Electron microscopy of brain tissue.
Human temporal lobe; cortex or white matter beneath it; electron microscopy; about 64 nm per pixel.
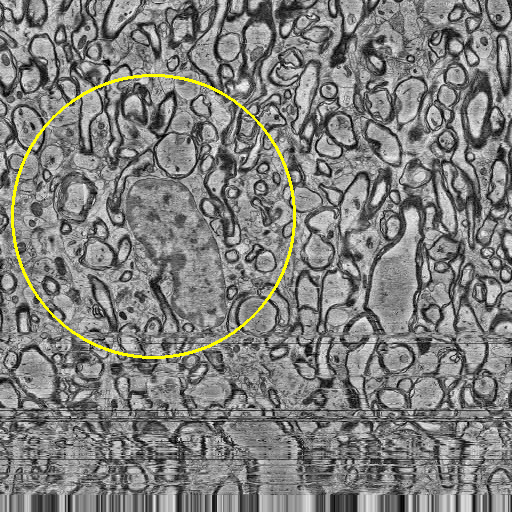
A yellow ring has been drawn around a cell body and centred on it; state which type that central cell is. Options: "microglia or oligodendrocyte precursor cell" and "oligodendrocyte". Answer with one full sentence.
The cell at the middle of the yellow ring is a microglial cell or oligodendrocyte precursor cell in this picture.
